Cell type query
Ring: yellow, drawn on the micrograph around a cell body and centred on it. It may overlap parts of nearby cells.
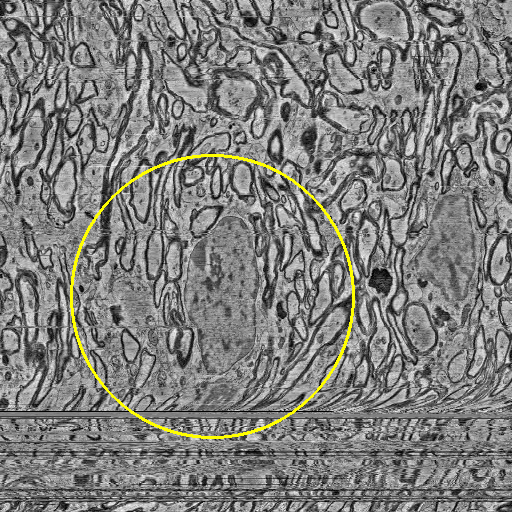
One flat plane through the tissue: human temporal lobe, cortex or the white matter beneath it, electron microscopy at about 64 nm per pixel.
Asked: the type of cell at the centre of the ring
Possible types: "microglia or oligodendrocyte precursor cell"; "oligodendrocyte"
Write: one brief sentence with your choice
The ring marks a microglial cell or oligodendrocyte precursor cell.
